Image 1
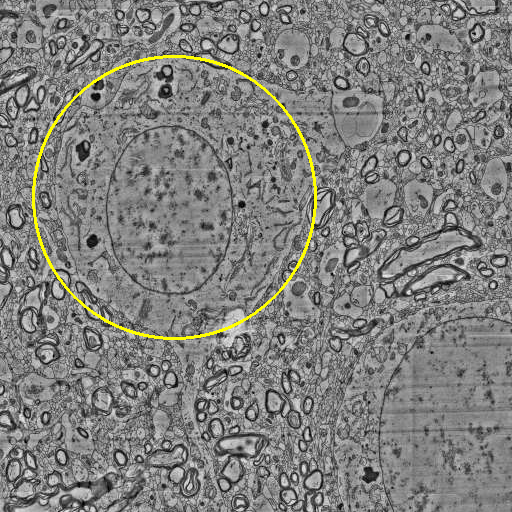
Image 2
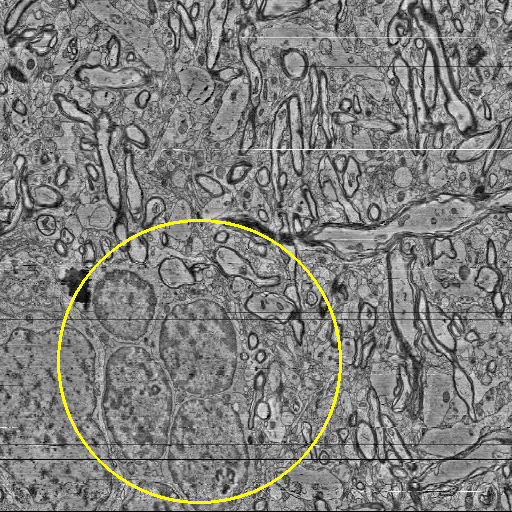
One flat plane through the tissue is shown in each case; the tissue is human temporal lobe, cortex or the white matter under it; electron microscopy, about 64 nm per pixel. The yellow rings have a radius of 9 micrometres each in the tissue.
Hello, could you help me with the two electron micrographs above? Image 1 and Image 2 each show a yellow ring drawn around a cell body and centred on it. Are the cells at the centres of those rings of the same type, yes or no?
no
